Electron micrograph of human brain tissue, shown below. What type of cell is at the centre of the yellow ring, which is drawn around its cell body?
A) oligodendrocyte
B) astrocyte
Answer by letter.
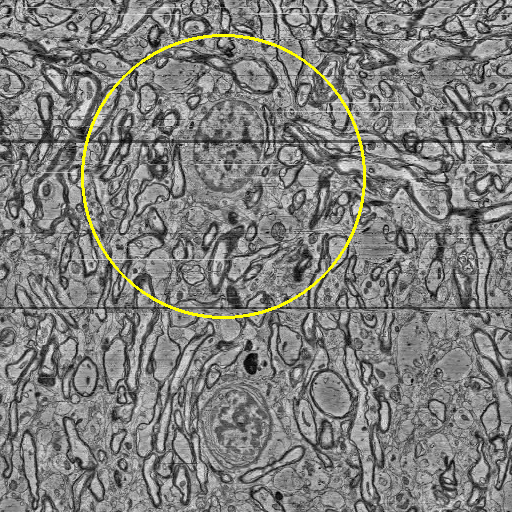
A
